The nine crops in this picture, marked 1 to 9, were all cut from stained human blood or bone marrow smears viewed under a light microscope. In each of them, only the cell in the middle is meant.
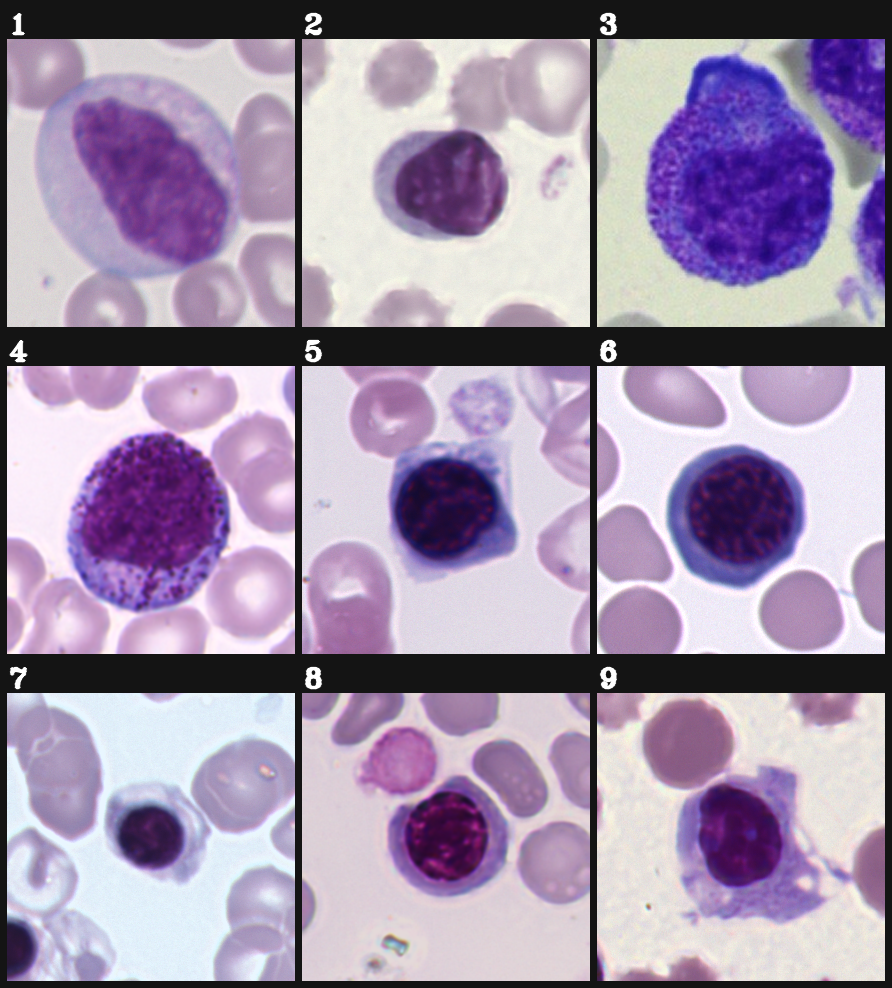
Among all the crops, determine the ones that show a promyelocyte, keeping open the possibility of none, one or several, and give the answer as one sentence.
The cells centred in crops 1, 3 and 4 are promyelocytes.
